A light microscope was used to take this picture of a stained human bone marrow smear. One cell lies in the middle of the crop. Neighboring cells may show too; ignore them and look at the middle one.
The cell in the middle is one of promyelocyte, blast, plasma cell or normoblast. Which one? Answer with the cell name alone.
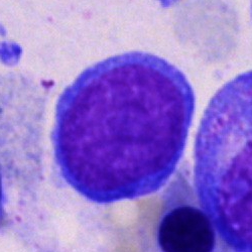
blast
